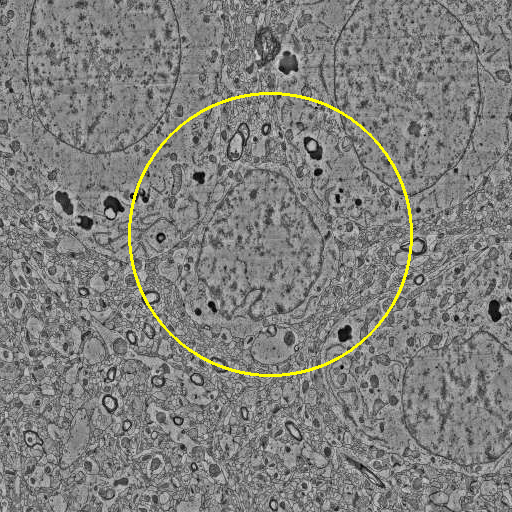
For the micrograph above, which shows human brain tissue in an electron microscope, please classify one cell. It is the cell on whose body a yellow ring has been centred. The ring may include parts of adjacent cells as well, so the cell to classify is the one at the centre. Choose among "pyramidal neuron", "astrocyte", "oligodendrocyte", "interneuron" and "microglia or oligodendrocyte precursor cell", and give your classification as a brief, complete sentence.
I classify this cell as an interneuron.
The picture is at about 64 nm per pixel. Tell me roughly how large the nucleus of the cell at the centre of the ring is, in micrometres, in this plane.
The ringed cell's nucleus is about 10 micrometres long and 8 micrometres wide in this plane.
